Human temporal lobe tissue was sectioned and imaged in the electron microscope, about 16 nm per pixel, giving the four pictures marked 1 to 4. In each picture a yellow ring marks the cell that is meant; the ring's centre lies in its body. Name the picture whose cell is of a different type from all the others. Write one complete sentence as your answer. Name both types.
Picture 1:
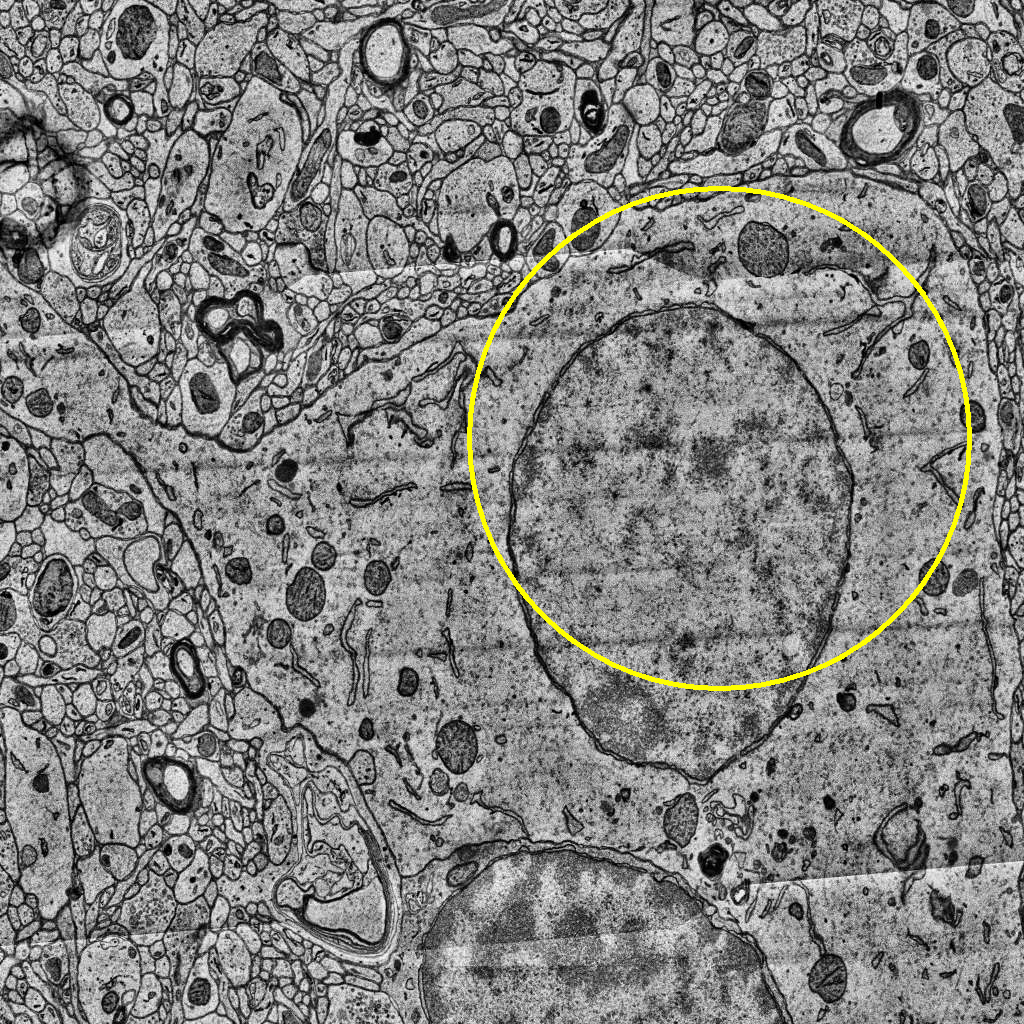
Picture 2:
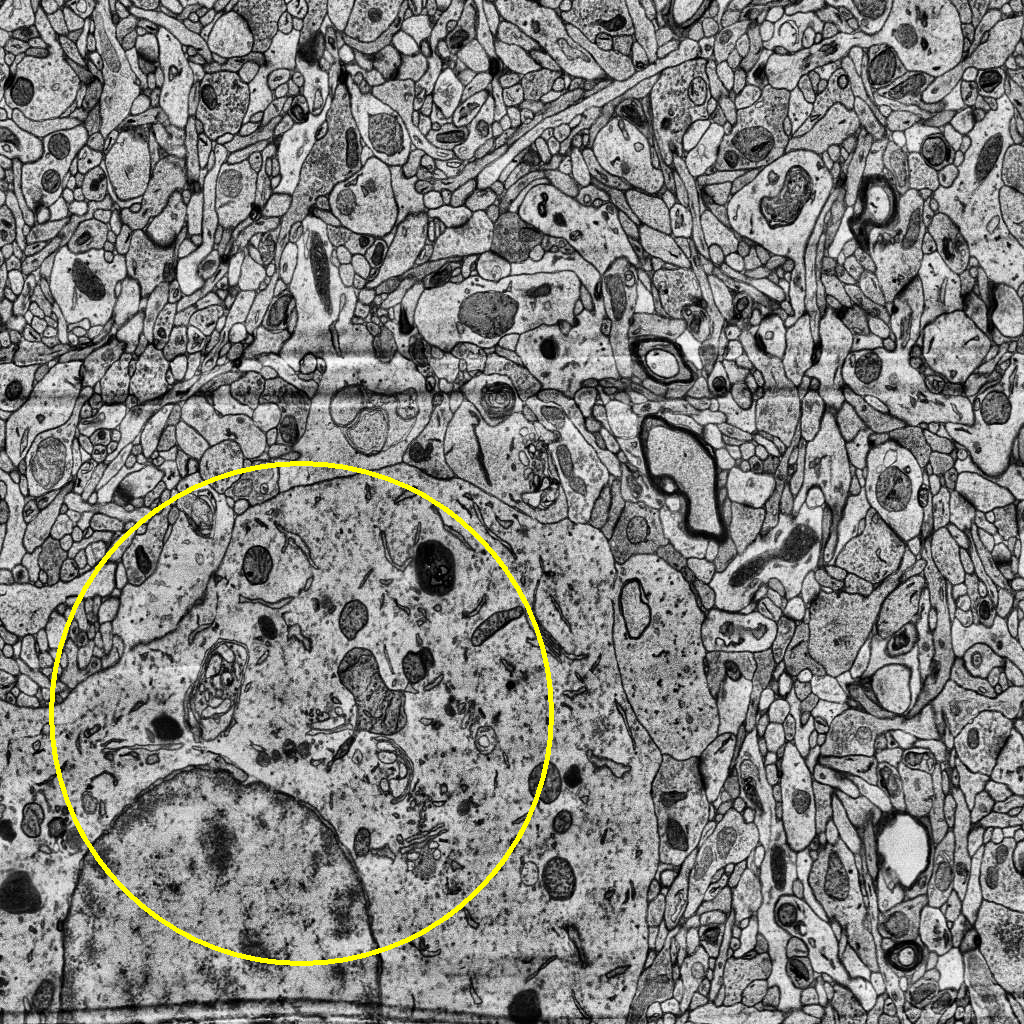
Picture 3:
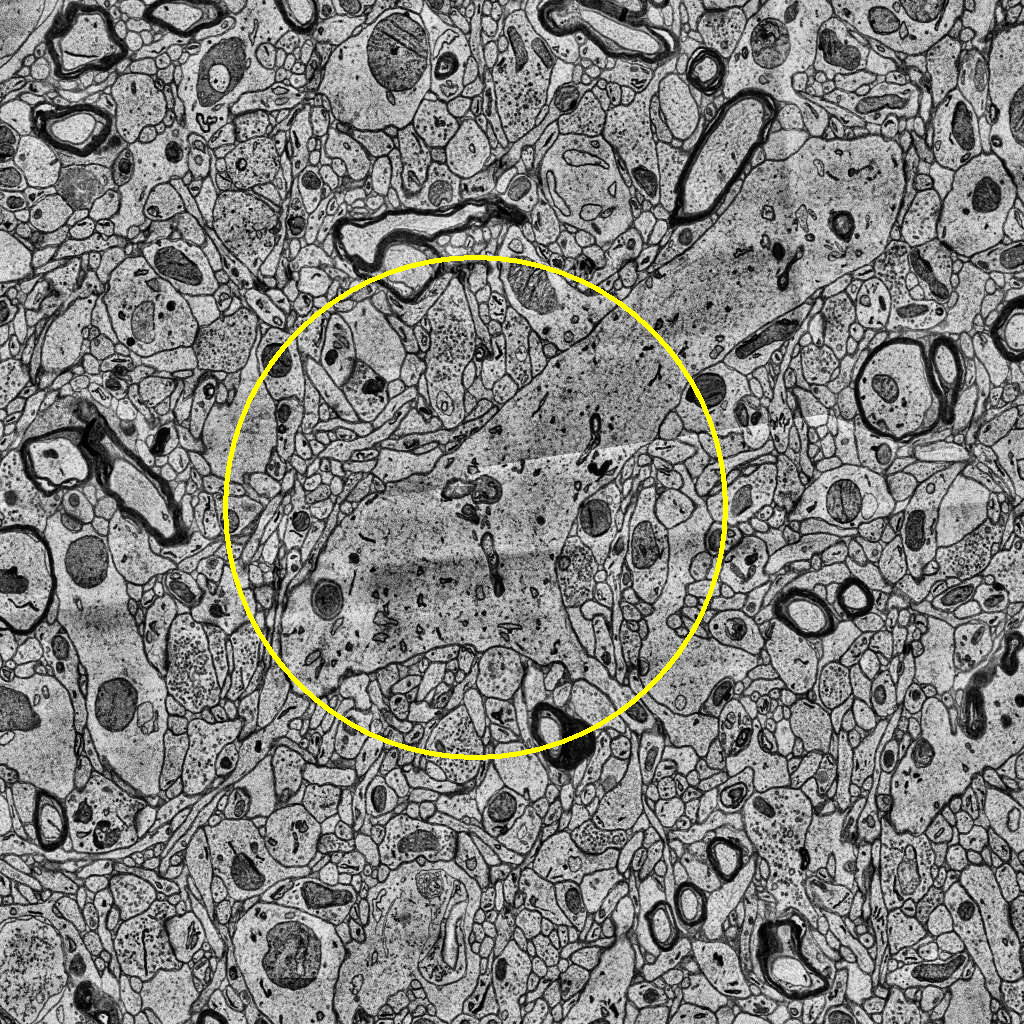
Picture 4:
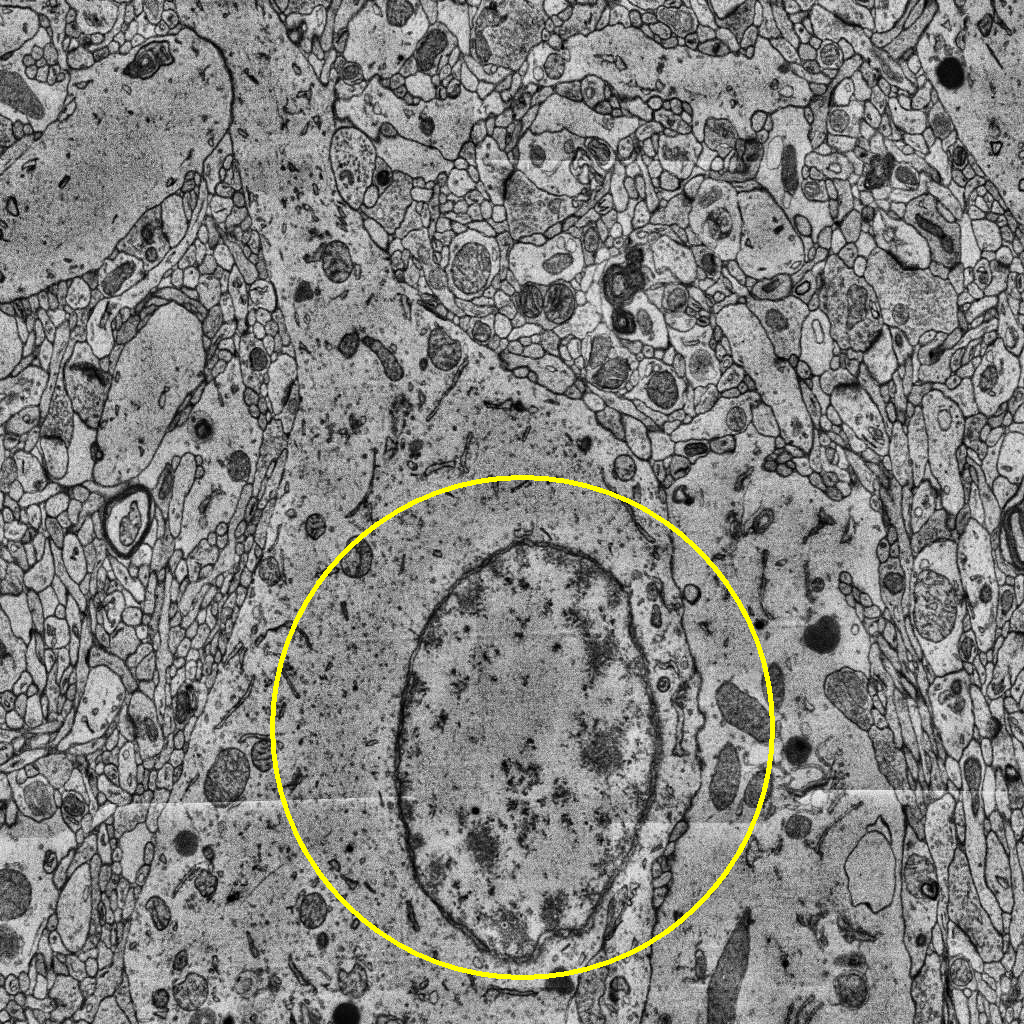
The others show pyramidal neurons, but picture 3 shows an oligodendrocyte.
